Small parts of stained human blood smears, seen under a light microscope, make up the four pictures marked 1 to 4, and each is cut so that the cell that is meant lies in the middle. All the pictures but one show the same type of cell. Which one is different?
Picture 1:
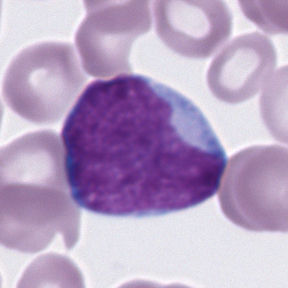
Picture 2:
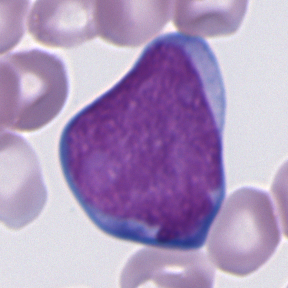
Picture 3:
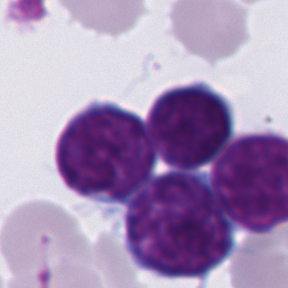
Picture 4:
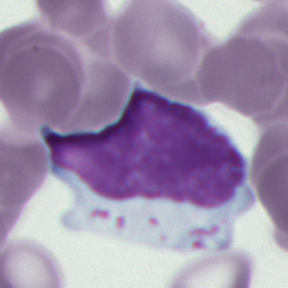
4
